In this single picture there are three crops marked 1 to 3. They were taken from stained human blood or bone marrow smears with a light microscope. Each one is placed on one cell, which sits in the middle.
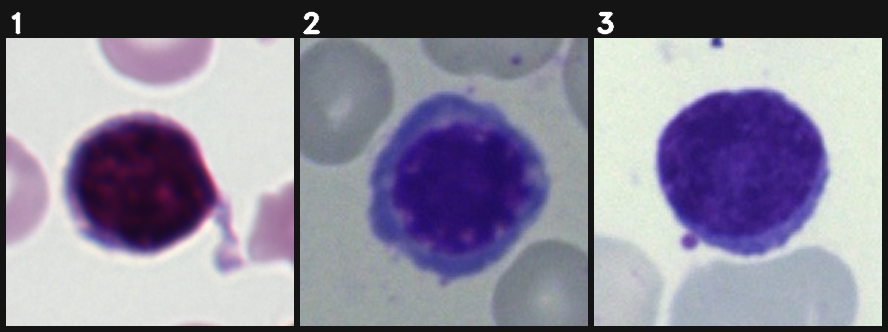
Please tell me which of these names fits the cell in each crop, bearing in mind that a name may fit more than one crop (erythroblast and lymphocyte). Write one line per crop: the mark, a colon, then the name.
1: lymphocyte
2: erythroblast
3: lymphocyte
